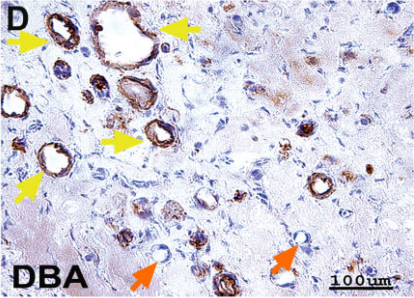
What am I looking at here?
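Within a pale, loosely fibrous matrix with scattered blue nuclei lie numerous round profiles, many of them ringed by a brown stain. The brown lies in the cells that line each profile, around a clear central lumen. The stained rings vary in size, the larger ones with wide open lumens. A few small round profiles nearby are lined by cells without brown stain and show only blue nuclei. The brown-ringed profiles are stained tubule-like structures, while the pale ones are unstained structures of similar form.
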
